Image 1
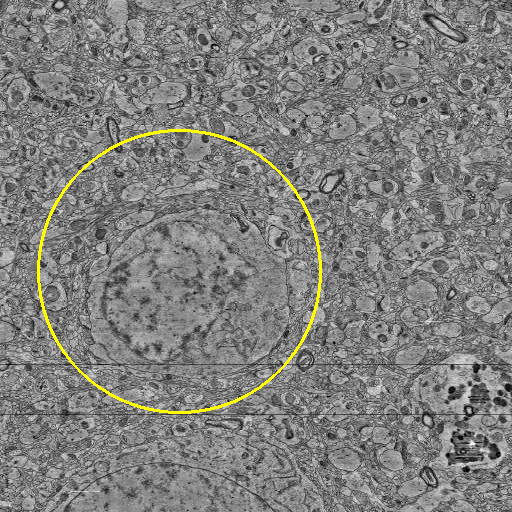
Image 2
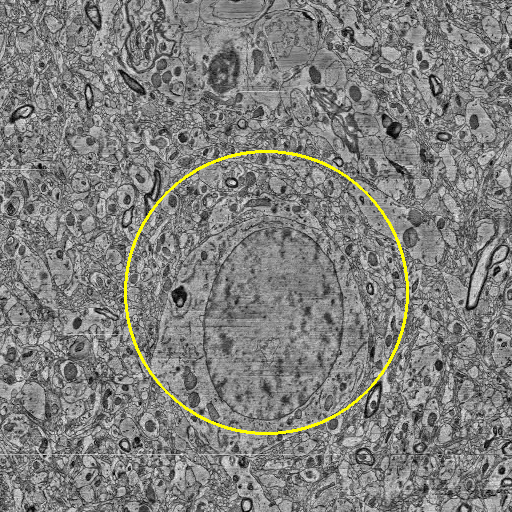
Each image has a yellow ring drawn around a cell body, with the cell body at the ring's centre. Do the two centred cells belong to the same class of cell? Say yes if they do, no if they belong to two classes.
no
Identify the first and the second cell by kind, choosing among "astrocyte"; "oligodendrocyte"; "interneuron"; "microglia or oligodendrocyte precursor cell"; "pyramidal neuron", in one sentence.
The one in the first picture is an interneuron, while the one in the second is a pyramidal neuron.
